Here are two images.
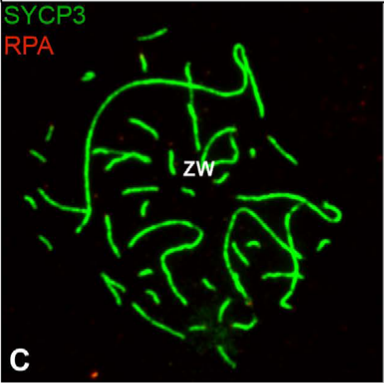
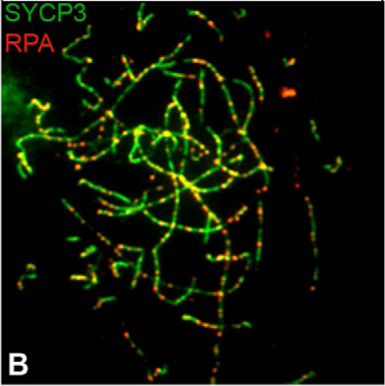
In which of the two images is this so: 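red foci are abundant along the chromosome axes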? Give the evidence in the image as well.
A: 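First image: the green axes carry almost no red foci. Second image: many red and yellow foci line the green axes. That points to this answer: the second image.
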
